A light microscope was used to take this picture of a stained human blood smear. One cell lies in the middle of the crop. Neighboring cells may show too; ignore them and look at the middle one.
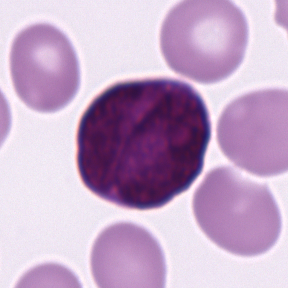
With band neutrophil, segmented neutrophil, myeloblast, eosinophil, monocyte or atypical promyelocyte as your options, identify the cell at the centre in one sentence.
The cell in the middle of this crop is a myeloblast.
